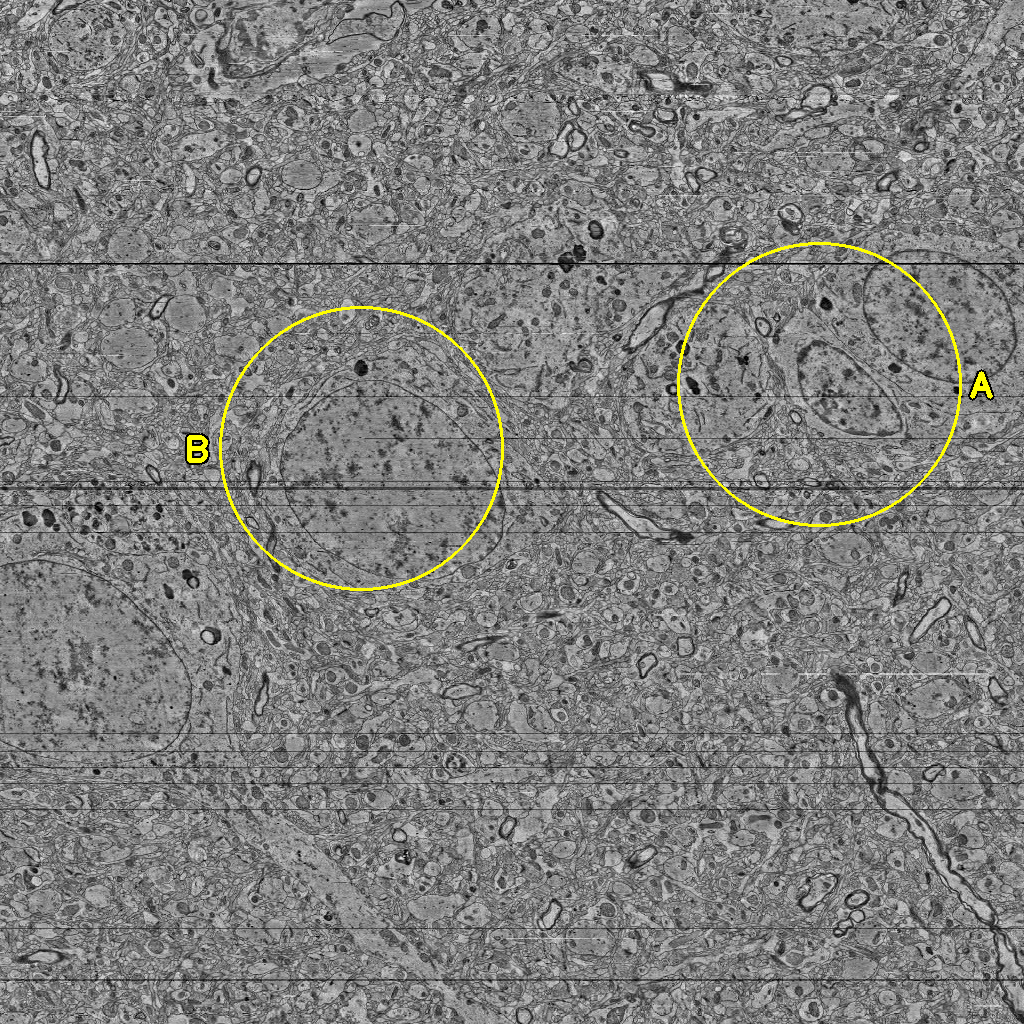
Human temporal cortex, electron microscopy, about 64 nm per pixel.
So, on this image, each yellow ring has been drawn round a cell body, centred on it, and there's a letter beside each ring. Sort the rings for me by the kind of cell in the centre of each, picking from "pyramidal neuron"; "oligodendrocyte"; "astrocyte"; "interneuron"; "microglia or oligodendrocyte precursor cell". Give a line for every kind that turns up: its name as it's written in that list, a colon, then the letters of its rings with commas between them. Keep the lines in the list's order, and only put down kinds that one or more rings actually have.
pyramidal neuron: B
microglia or oligodendrocyte precursor cell: A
